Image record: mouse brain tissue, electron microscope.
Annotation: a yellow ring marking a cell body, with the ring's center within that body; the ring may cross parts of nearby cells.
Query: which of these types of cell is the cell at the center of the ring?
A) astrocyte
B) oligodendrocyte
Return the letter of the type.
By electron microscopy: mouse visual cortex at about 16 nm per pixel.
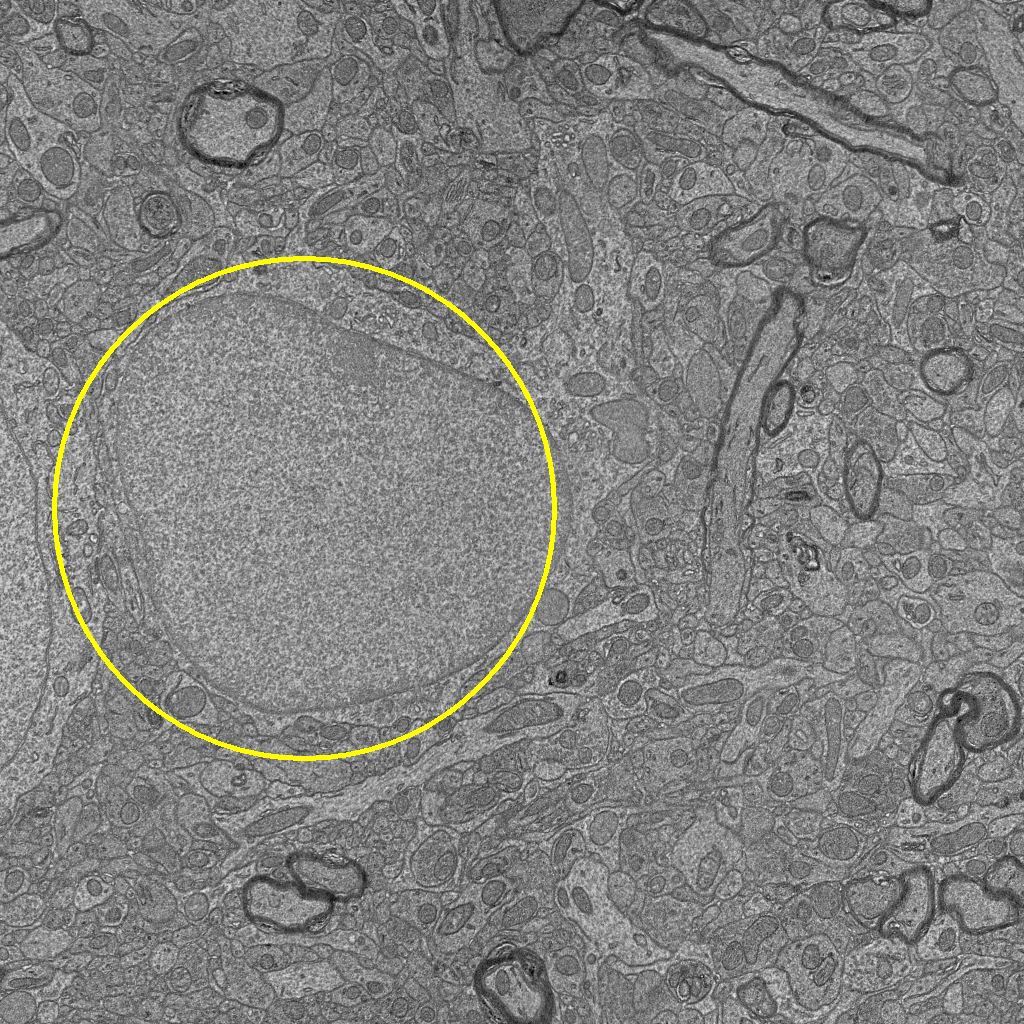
A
